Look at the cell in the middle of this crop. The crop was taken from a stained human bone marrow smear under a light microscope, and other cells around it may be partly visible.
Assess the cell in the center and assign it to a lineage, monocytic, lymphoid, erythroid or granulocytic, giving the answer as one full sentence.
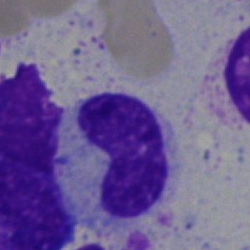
The middle cell should be classed under the granulocytic lineage.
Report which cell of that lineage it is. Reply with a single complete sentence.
Centrally within this crop lies a band neutrophil.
